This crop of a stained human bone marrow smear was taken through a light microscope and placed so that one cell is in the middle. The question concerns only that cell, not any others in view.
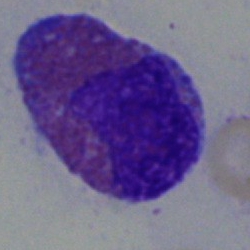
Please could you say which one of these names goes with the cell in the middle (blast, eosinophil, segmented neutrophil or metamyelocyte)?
eosinophil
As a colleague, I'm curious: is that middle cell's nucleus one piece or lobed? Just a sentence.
Its nucleus is compact and single, with a round, oval or kidney-shaped form.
